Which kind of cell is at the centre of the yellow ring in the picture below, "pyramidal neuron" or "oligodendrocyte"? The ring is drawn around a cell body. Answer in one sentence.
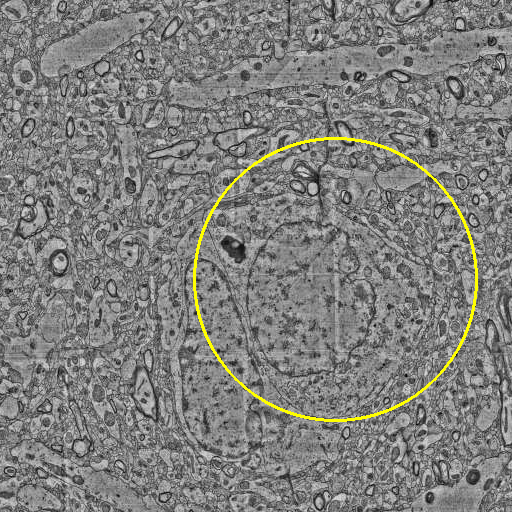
The ring's central cell is a pyramidal neuron.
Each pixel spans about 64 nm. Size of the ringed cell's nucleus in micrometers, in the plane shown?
The ringed cell's nucleus is about 10 micrometres long and 8 micrometres wide in this plane.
